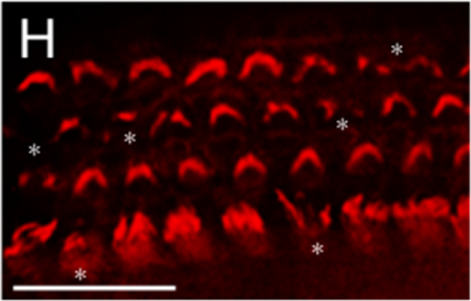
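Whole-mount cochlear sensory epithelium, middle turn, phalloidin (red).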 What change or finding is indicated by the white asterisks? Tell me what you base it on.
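Marked bundles are fragmented, faint or missing. Some bundles in the bottom row appear drawn out and splayed. So: degeneration or elongation of stereocilial bundles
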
